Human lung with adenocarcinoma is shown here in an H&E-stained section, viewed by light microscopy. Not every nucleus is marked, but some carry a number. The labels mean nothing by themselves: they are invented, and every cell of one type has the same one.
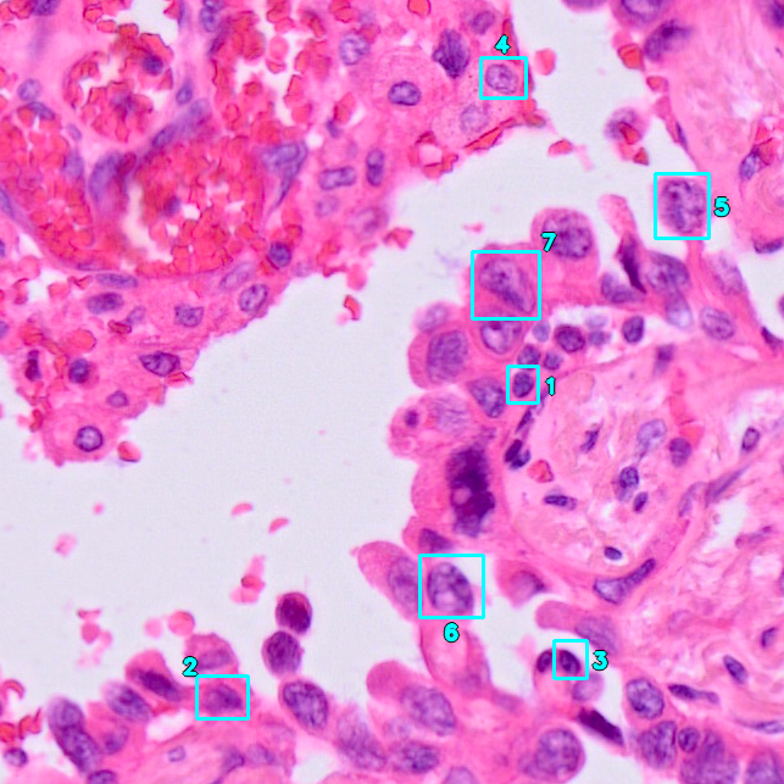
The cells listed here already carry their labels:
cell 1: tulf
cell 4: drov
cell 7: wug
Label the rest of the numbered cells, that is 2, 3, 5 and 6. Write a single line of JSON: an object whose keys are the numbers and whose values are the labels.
{"2": "wug", "3": "tulf", "5": "wug", "6": "wug"}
